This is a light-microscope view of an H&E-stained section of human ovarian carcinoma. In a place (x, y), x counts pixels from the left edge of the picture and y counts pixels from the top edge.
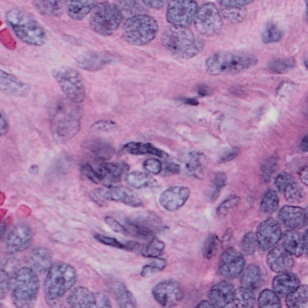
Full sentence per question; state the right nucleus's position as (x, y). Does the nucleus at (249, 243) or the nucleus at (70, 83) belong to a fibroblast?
The nucleus at (70, 83) is attributed to a fibroblast, unlike the other nucleus.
